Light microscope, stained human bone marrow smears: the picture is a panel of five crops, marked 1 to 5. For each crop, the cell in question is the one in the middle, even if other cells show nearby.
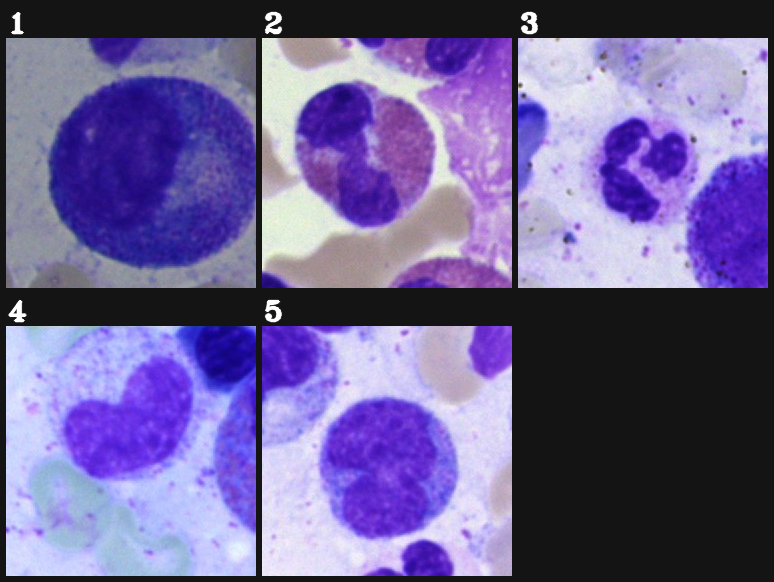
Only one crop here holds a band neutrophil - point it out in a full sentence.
Crop 4 is the correct crop, and it shows a band neutrophil.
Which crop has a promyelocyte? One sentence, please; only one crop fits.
Crop 1 is the crop in which a promyelocyte is shown.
